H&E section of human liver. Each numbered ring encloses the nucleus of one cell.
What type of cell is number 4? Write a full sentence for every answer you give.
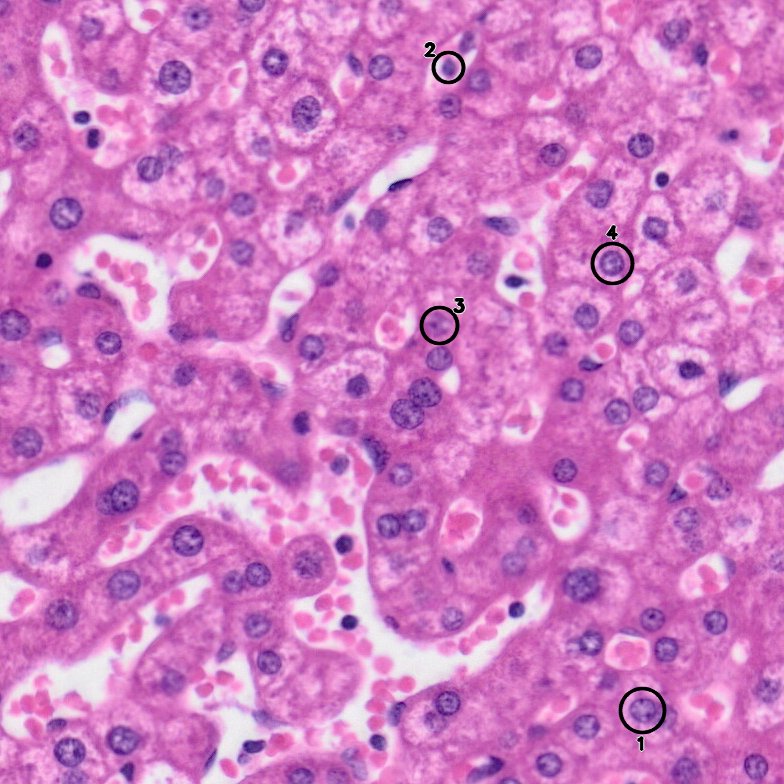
The numbered cell 4 in this field is a hepatocyte.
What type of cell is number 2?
The cell given label 2 is a lymphocyte.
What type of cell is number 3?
The cell marked with the number 3 is a hepatocyte.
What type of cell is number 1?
Identified by the number 1, the cell is a hepatocyte.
